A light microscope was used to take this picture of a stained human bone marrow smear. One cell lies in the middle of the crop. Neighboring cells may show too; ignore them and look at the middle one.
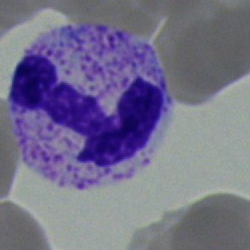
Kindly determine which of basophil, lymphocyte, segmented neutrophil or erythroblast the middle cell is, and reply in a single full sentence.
Centred in the crop is a segmented neutrophil.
